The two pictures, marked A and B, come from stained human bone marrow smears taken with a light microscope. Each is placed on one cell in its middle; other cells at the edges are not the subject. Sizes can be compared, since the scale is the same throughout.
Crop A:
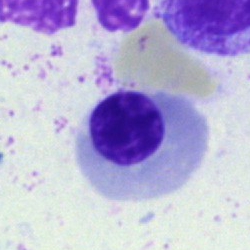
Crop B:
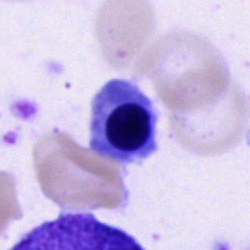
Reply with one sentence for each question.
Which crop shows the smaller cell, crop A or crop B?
It is the cell in crop B; the cell in crop A has about 3 times its area.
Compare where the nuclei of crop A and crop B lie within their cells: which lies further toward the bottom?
The nucleus in crop B lies further toward the bottom of its cell.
